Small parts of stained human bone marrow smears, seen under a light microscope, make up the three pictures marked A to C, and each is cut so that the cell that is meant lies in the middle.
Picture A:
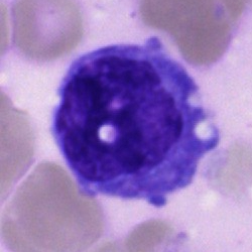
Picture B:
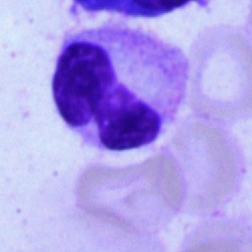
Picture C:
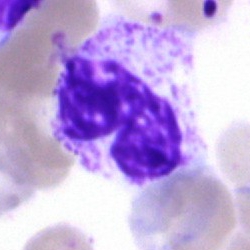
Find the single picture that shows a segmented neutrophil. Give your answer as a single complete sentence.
The segmented neutrophil is the one in picture C.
